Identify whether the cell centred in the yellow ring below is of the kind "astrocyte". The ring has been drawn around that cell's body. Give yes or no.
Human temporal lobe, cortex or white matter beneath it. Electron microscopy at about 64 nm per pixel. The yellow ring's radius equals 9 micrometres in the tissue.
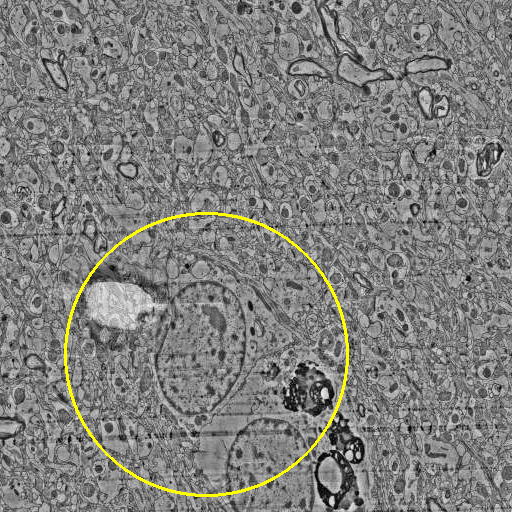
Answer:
yes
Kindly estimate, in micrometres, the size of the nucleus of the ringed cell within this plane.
The nucleus is approximately 9 micrometers long by 6 micrometers wide in this plane.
